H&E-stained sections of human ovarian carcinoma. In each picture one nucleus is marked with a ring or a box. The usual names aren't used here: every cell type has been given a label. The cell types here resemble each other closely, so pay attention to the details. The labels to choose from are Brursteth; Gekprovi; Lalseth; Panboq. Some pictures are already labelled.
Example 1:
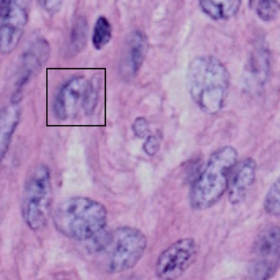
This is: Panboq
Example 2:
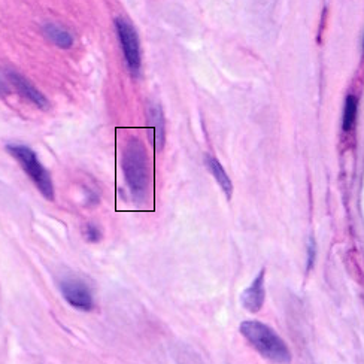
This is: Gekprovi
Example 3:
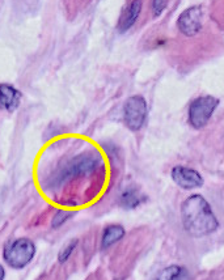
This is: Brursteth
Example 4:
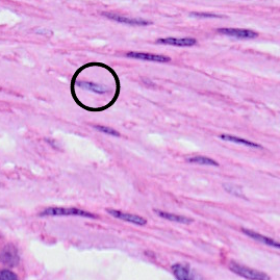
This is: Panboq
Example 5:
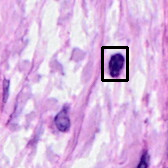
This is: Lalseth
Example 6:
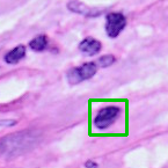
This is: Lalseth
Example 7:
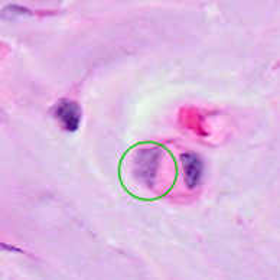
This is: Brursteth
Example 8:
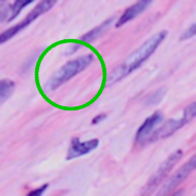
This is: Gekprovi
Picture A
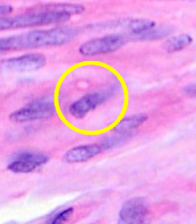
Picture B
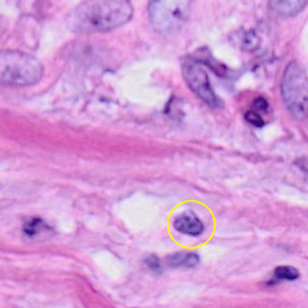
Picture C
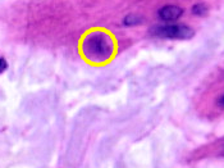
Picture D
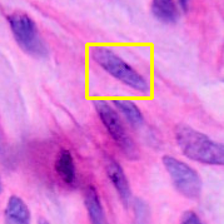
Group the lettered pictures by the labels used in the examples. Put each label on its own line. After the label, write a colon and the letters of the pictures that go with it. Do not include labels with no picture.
Gekprovi: A, C, D
Lalseth: B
